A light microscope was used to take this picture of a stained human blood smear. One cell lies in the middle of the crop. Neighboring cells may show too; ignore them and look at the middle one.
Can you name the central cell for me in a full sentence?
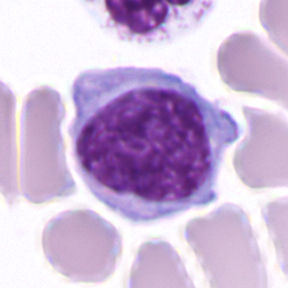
Located at the centre of the crop is a plasma cell.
